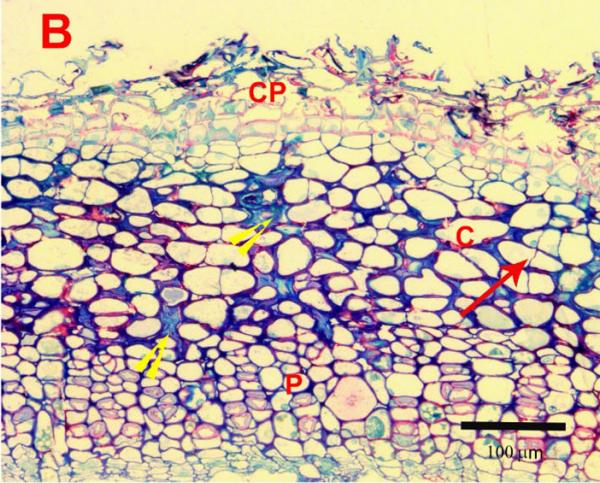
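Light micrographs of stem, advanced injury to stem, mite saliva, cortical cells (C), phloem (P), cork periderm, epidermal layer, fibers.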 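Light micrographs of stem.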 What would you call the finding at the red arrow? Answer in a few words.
Hyperplasia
